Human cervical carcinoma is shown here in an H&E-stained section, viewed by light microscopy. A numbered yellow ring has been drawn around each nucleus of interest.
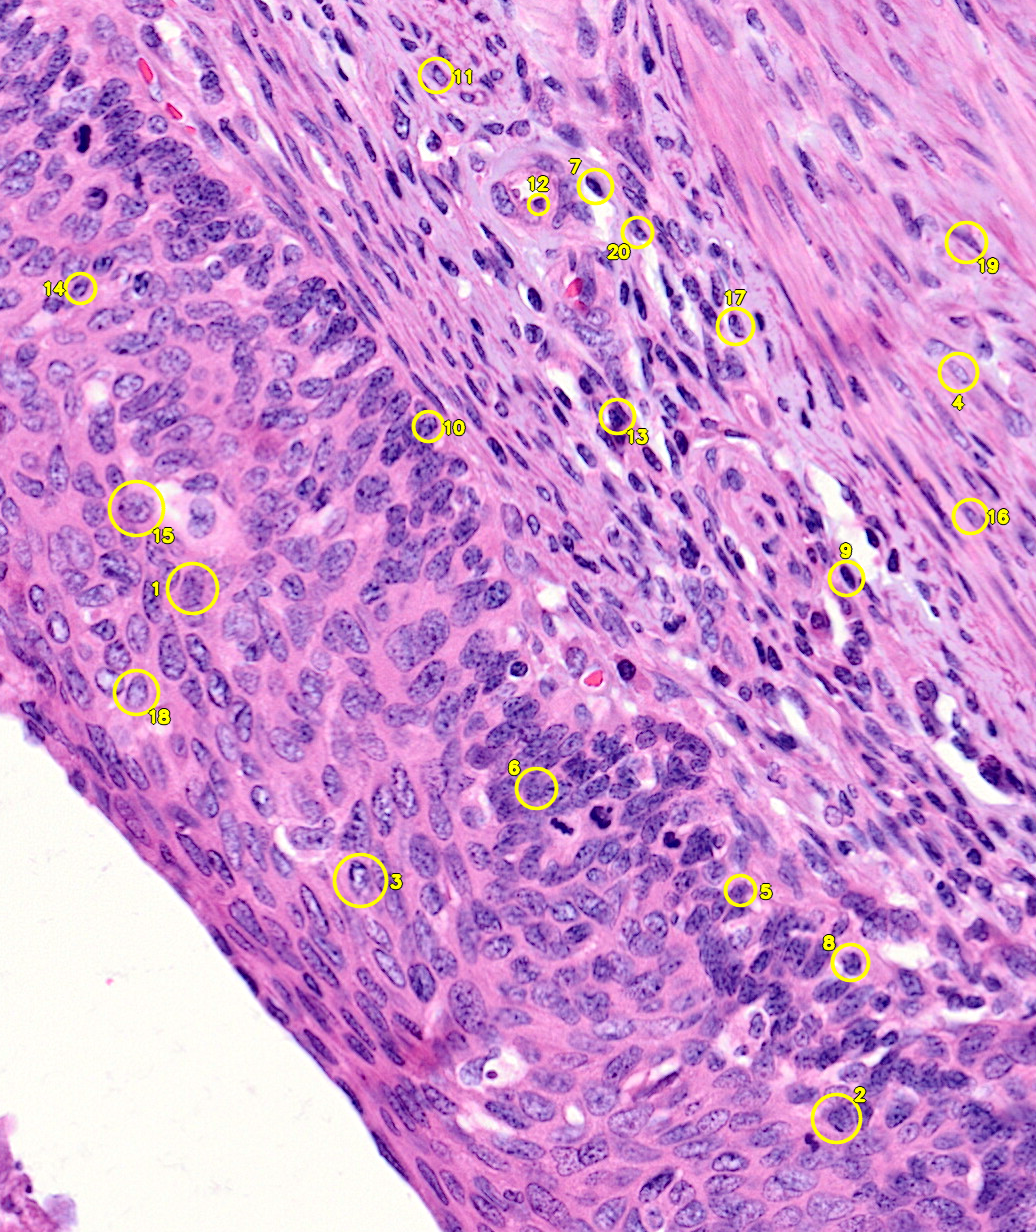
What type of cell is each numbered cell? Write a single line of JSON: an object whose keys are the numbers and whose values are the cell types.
{"1": "squamous carcinoma cell", "2": "squamous carcinoma cell", "3": "squamous carcinoma cell", "4": "smooth muscle cell", "5": "squamous carcinoma cell", "6": "squamous carcinoma cell", "7": "lymphocyte", "8": "lymphocyte", "9": "lymphocyte", "10": "squamous carcinoma cell", "11": "smooth muscle cell", "12": "endothelial cell", "13": "lymphocyte", "14": "squamous carcinoma cell", "15": "squamous carcinoma cell", "16": "smooth muscle cell", "17": "lymphocyte", "18": "squamous carcinoma cell", "19": "smooth muscle cell", "20": "lymphocyte"}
